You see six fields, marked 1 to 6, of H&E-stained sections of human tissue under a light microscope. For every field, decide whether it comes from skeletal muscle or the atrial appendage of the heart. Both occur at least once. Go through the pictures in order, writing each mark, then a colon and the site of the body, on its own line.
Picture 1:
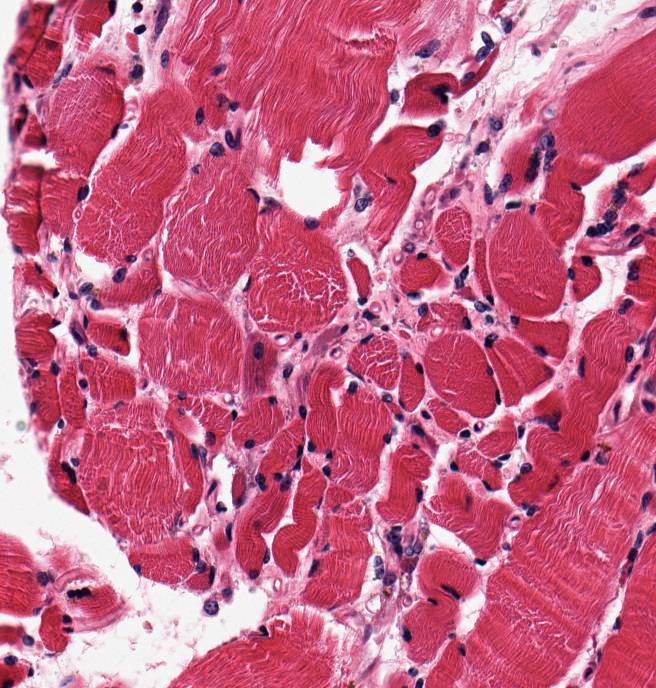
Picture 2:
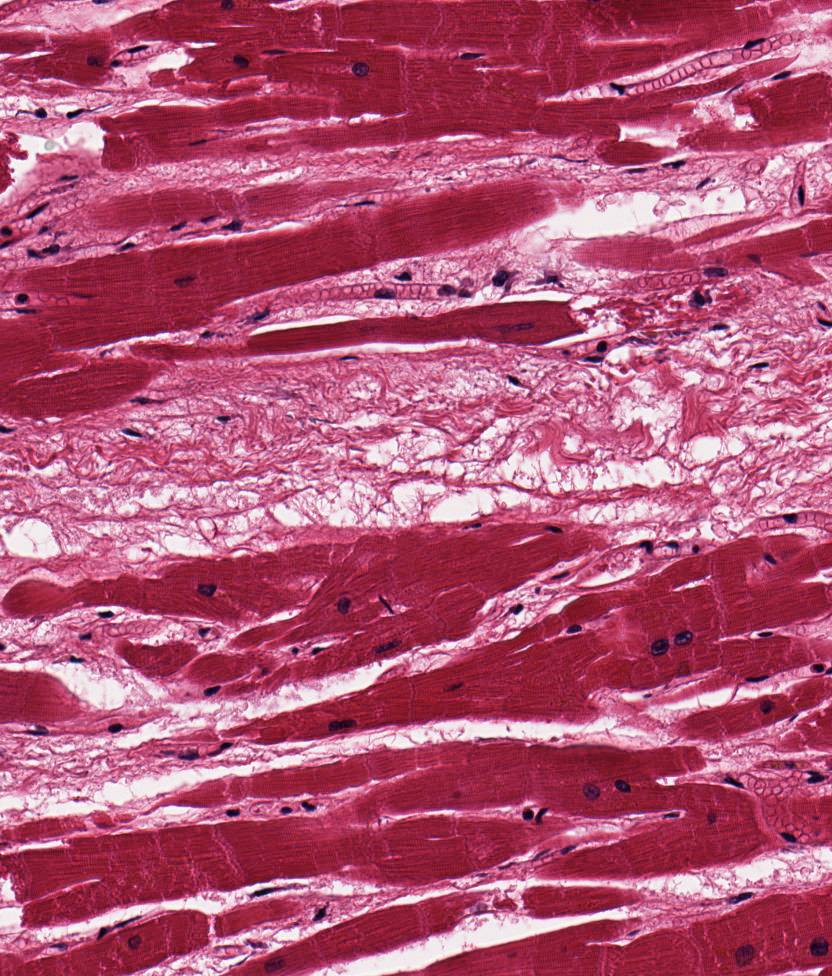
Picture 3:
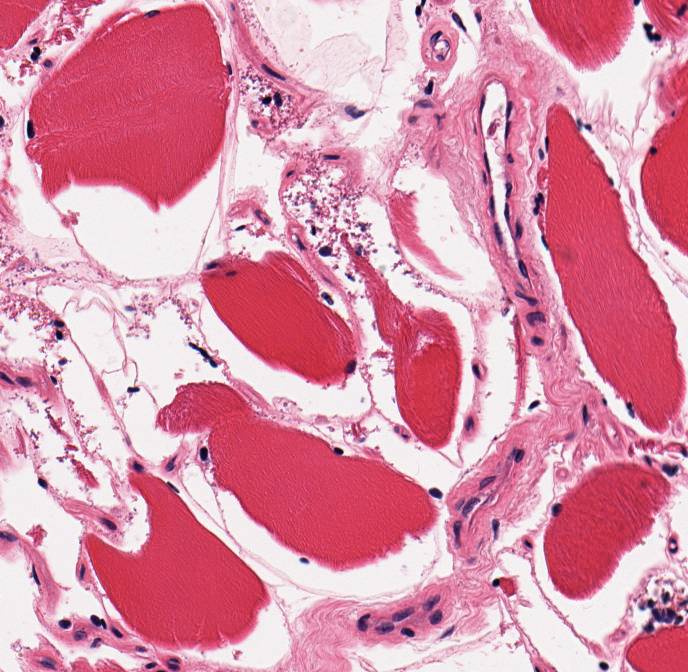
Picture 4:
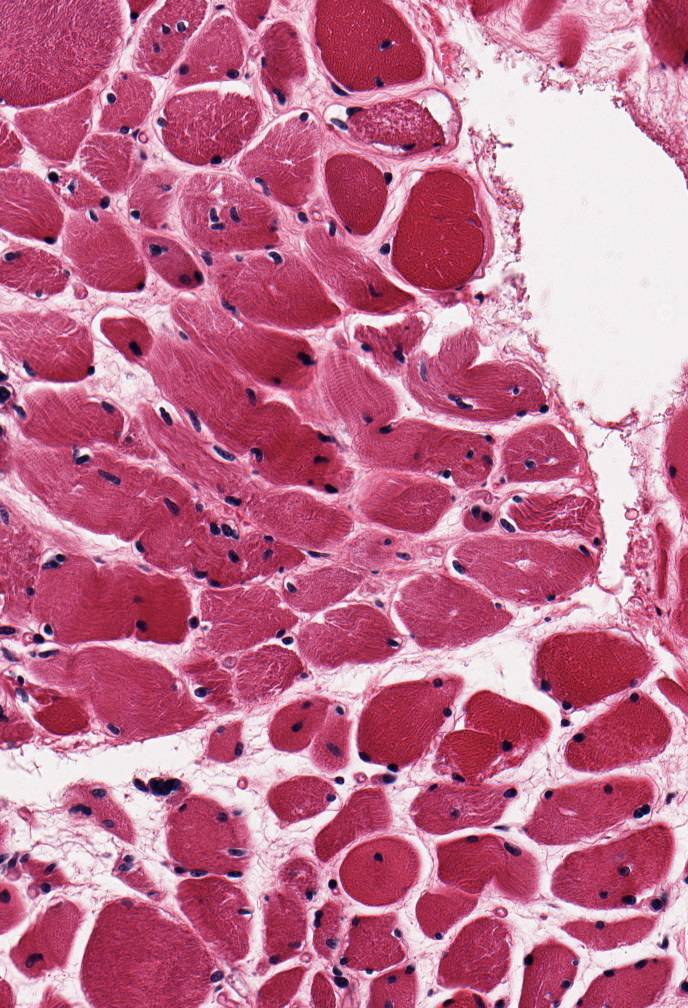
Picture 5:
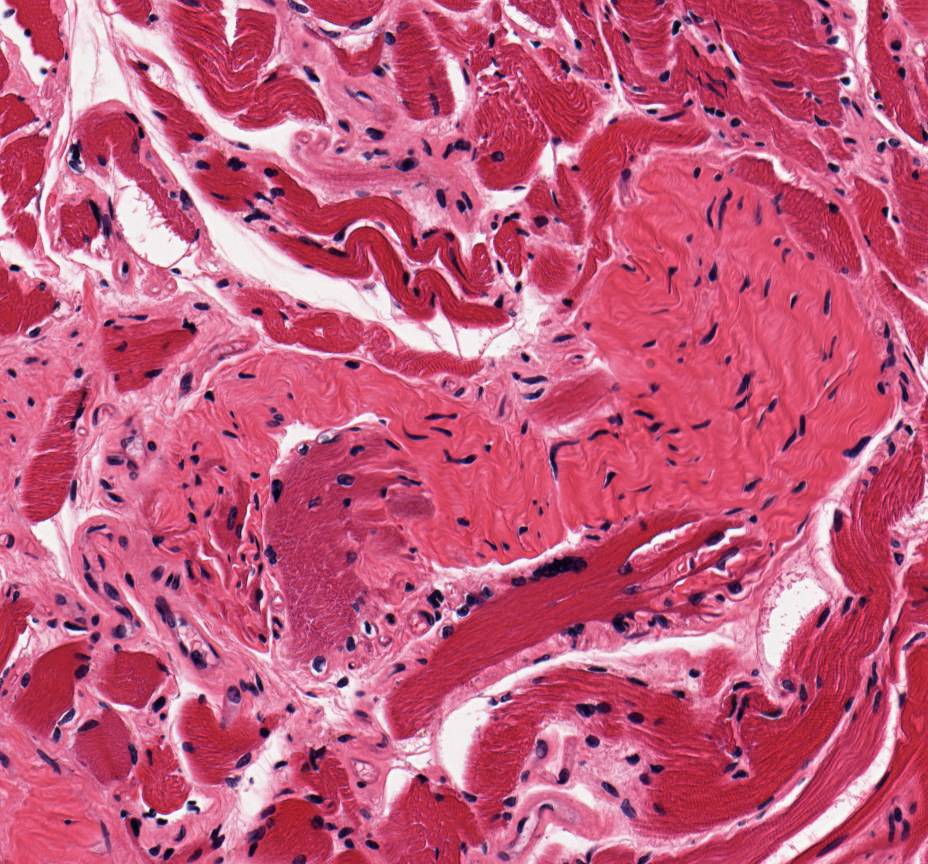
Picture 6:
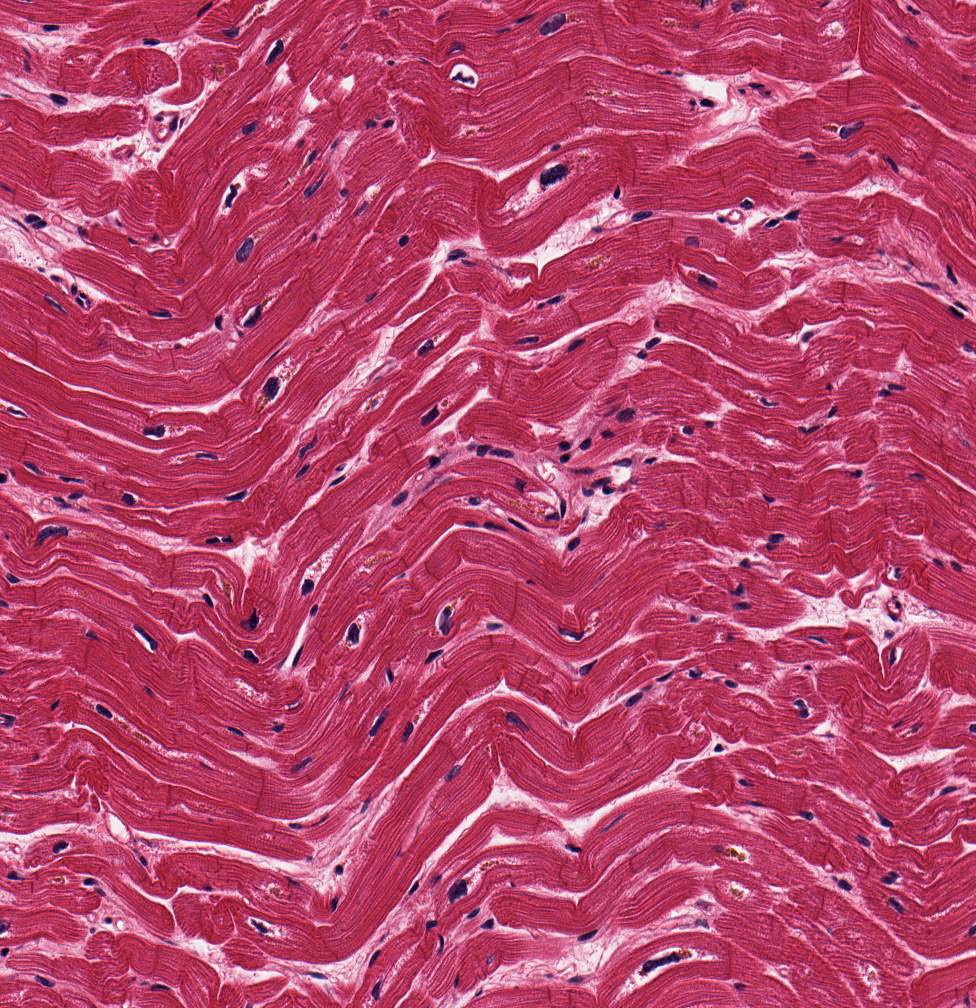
1: skeletal muscle
2: atrial appendage of the heart
3: skeletal muscle
4: skeletal muscle
5: skeletal muscle
6: atrial appendage of the heart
